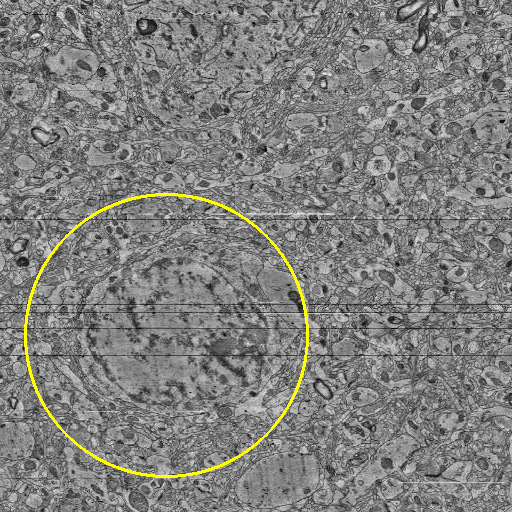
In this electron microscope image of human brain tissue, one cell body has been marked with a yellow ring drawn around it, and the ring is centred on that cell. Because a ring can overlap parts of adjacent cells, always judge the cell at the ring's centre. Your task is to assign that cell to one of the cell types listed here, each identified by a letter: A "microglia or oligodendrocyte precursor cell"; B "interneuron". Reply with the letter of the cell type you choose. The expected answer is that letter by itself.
B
